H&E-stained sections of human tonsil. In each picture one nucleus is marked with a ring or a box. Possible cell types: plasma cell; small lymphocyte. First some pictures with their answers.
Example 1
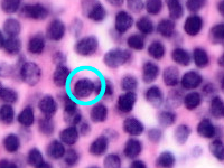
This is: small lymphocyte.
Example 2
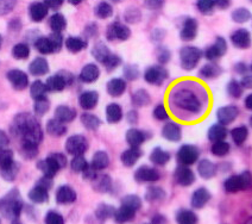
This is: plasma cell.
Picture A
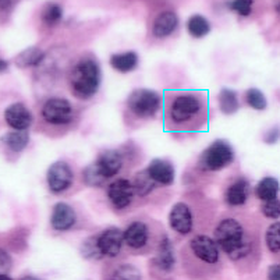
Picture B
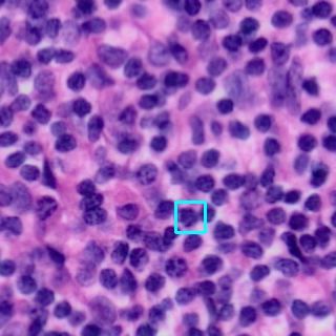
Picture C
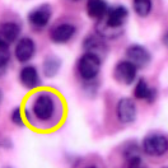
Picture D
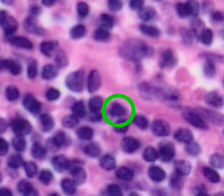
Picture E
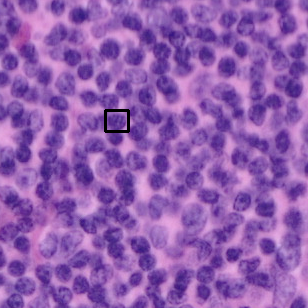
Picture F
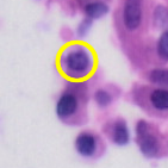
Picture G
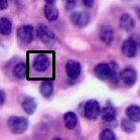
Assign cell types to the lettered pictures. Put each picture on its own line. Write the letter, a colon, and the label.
A: plasma cell.
B: small lymphocyte.
C: plasma cell.
D: small lymphocyte.
E: small lymphocyte.
F: plasma cell.
G: plasma cell.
